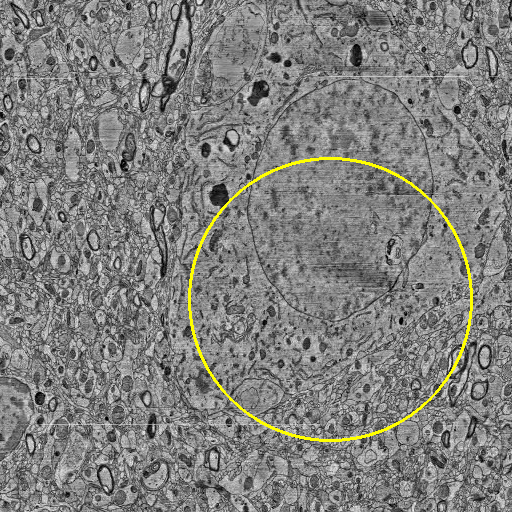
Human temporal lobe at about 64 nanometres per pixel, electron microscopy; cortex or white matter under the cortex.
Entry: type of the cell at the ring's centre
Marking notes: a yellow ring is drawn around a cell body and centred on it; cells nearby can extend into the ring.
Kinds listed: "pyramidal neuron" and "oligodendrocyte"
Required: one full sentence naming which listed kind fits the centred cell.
My entry names a pyramidal neuron as the cell whose body the yellow ring centres on.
